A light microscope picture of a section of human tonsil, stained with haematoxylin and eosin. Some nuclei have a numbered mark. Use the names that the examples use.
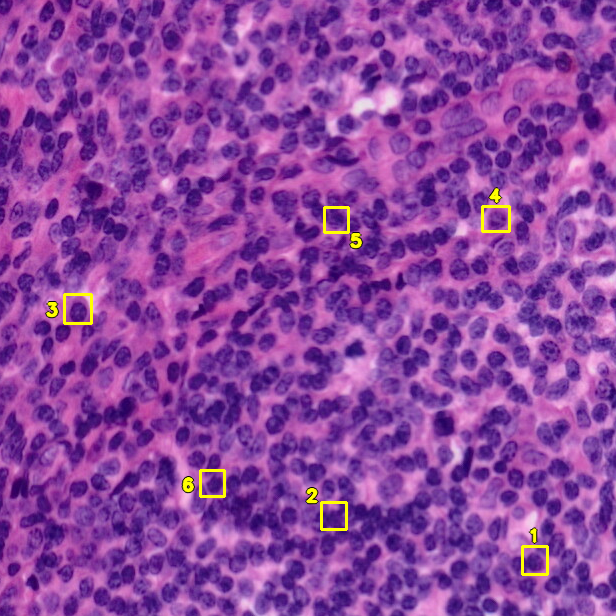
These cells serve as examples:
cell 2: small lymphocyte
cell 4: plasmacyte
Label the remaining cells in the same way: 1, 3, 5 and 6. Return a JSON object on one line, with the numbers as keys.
{"1": "small lymphocyte", "3": "plasmacyte", "5": "small lymphocyte", "6": "small lymphocyte"}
